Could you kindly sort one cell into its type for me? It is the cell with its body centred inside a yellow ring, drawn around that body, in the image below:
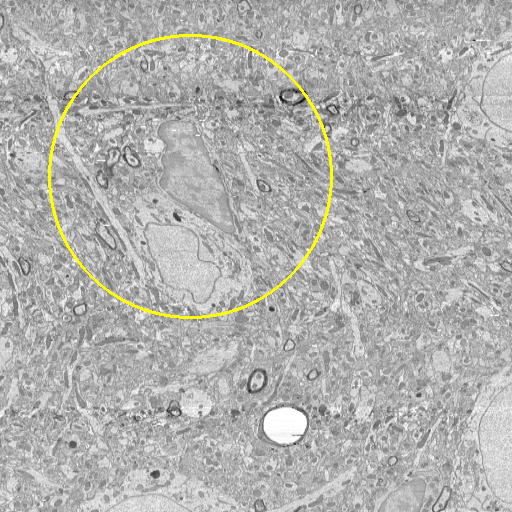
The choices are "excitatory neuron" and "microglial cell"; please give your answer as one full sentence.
The cell whose body lies centred in the yellow ring here is a microglial cell.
